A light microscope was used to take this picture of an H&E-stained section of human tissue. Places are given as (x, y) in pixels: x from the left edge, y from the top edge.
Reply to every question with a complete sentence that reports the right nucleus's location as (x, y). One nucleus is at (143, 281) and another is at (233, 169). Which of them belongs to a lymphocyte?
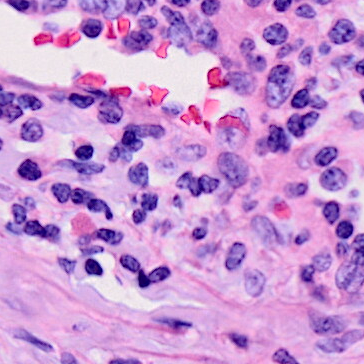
The nucleus belonging to a lymphocyte is the one at (143, 281).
